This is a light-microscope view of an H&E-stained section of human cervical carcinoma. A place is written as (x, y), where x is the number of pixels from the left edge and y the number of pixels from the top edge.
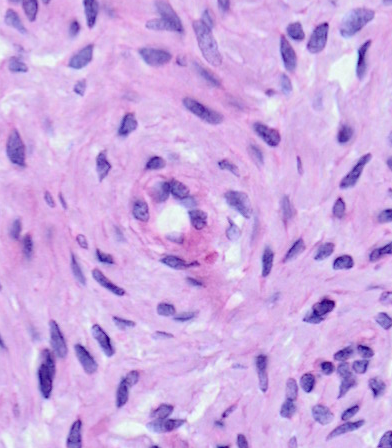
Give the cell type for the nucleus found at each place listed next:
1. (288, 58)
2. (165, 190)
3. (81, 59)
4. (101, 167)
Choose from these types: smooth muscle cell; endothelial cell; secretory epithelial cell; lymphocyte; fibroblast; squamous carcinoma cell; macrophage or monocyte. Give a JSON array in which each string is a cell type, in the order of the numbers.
["fibroblast", "endothelial cell", "fibroblast", "fibroblast"]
